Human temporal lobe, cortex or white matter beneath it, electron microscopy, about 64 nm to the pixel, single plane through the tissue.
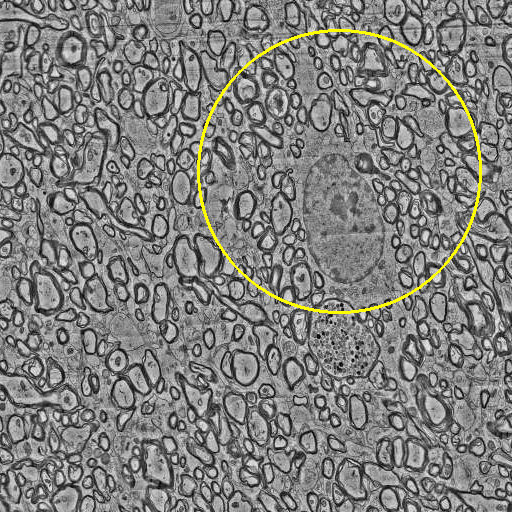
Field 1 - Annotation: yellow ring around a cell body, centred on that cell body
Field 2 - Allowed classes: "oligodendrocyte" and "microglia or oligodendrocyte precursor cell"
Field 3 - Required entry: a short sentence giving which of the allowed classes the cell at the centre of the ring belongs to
The centred cell is an oligodendrocyte.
